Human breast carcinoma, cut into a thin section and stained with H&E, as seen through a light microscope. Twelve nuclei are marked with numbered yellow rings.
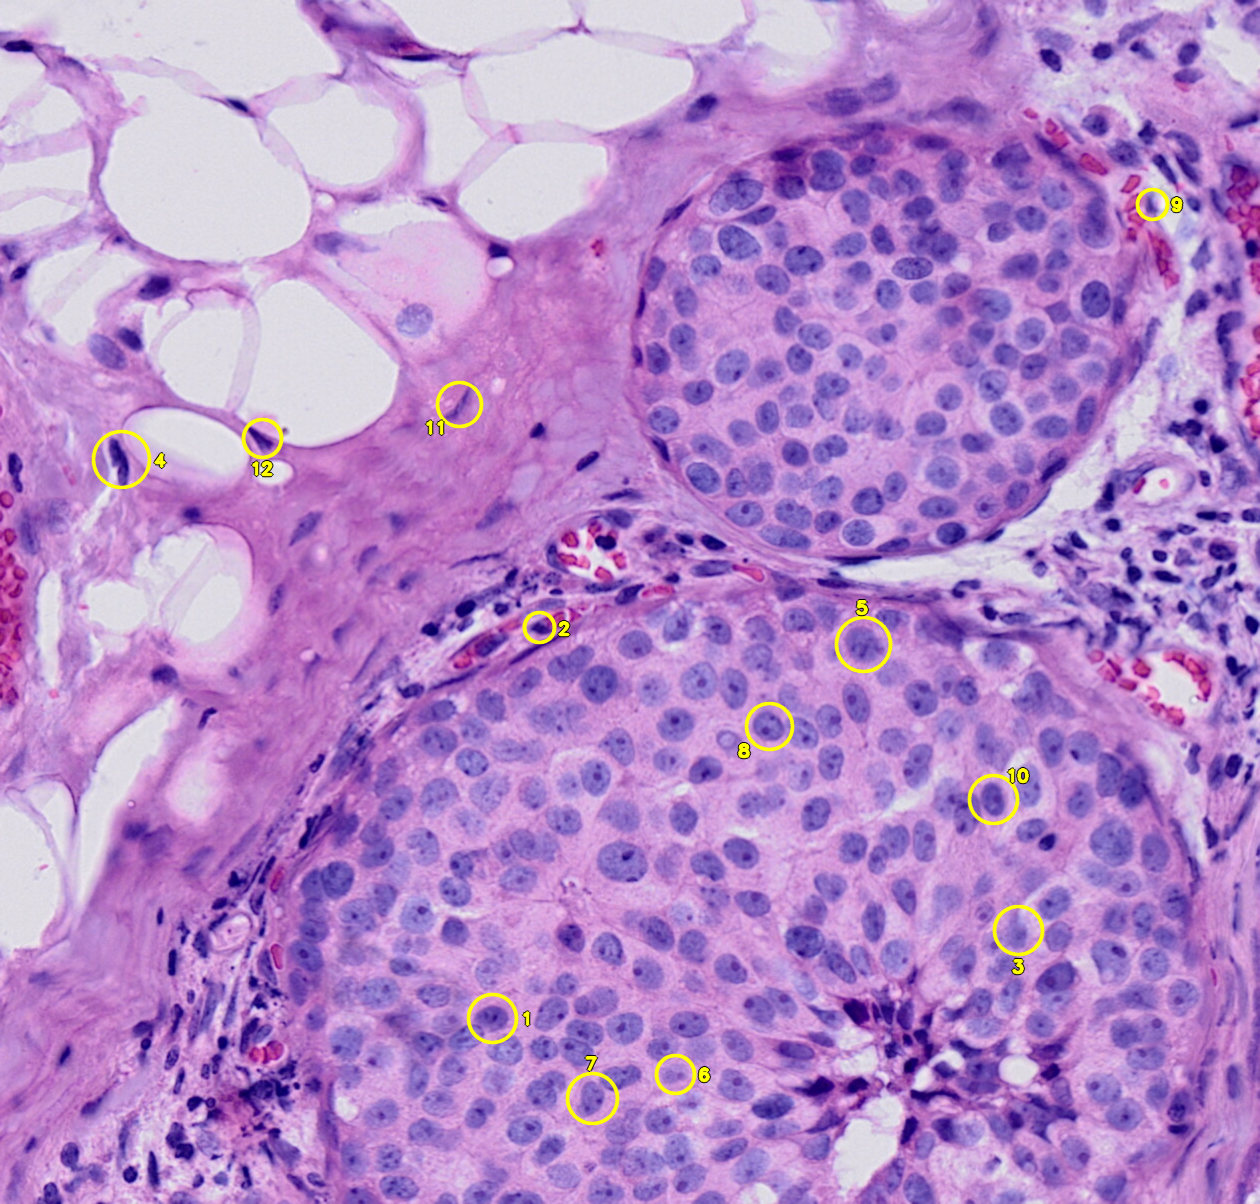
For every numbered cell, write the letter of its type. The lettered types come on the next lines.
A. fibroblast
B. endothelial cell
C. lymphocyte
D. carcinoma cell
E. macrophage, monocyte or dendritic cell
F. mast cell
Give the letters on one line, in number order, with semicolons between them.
D; B; D; A; D; D; D; D; B; D; A; A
